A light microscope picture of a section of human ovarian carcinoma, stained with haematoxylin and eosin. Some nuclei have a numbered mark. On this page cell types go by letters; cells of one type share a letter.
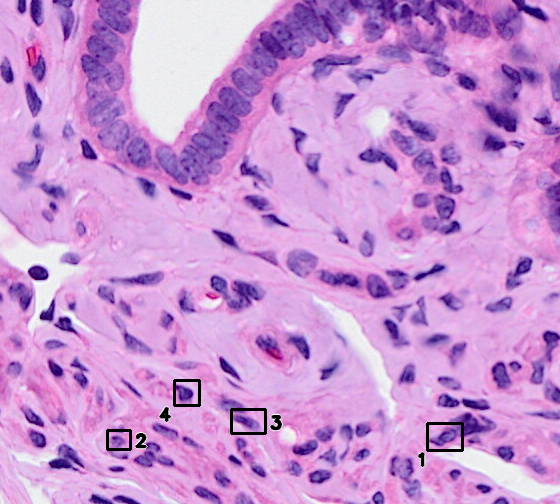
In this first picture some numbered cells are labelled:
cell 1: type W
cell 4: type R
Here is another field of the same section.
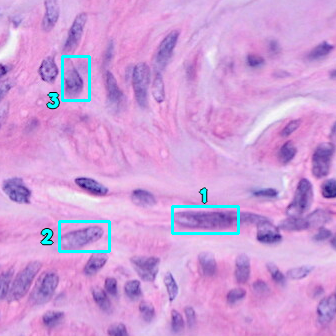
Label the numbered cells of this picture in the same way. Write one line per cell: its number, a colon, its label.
1: type W
2: type R
3: type R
